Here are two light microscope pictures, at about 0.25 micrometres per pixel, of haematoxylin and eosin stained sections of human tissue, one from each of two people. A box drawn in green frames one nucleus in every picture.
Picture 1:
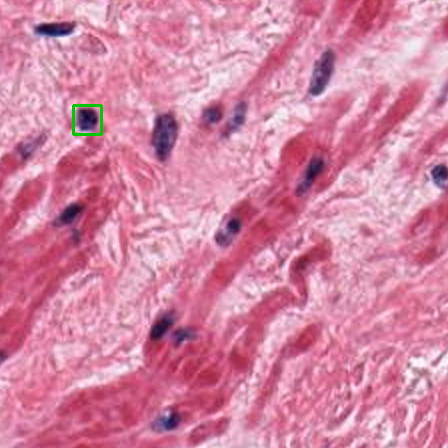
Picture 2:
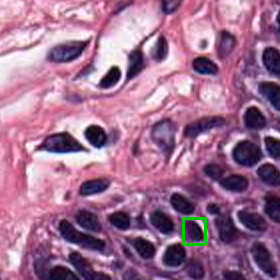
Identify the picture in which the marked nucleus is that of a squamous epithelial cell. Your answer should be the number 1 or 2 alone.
2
